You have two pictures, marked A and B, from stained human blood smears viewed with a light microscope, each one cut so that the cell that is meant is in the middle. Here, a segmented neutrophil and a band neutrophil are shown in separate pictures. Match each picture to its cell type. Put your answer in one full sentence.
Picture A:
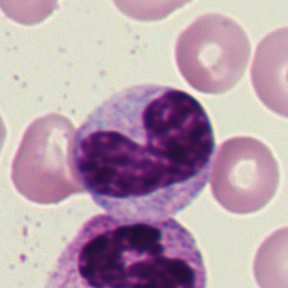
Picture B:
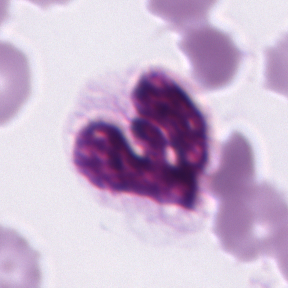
It is picture A that shows a band neutrophil, and picture B that shows a segmented neutrophil.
